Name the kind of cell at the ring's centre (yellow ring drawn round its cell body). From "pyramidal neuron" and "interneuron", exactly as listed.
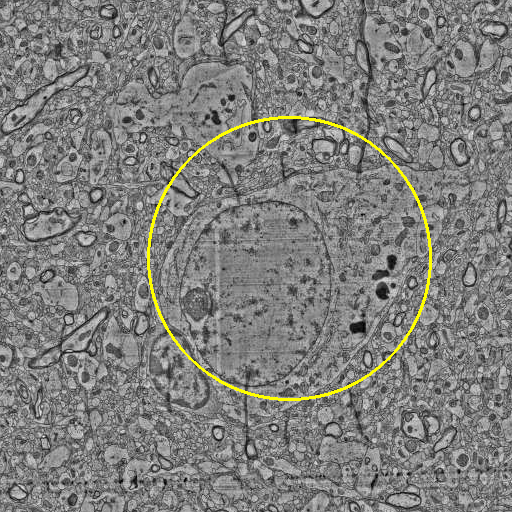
pyramidal neuron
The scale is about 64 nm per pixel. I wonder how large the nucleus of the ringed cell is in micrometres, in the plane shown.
The nucleus appears roughly 12 by 10 micrometres in this plane.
